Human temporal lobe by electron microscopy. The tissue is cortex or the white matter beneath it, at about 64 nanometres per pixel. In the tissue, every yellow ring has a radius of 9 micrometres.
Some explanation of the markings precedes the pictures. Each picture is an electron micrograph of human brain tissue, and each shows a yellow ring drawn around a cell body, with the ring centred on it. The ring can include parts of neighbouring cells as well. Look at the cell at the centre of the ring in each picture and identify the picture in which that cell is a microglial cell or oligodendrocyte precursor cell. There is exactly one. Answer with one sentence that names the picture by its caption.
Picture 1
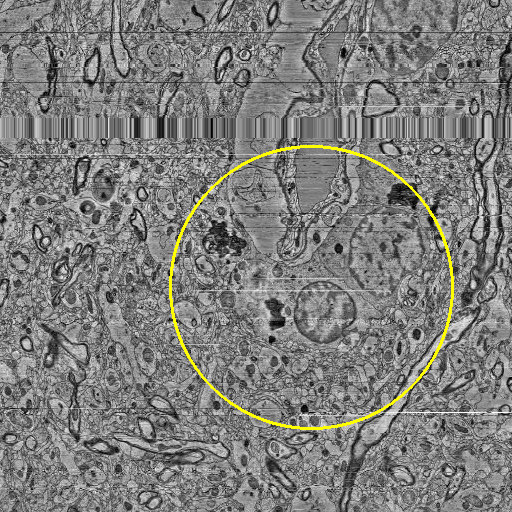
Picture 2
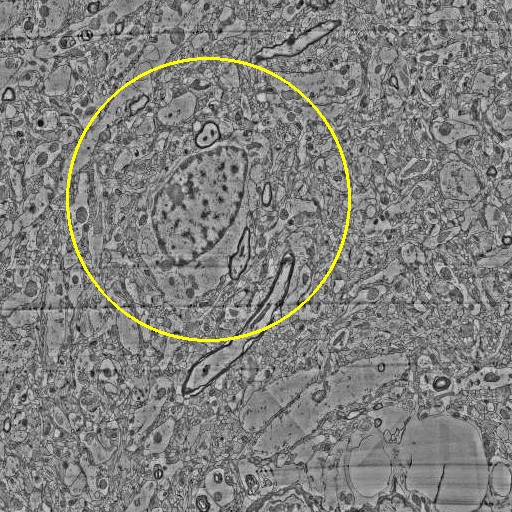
In Picture 2, the cell at the centre of the ring is of that kind.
